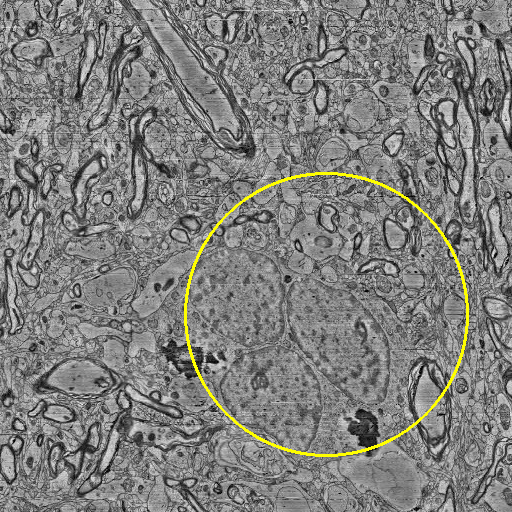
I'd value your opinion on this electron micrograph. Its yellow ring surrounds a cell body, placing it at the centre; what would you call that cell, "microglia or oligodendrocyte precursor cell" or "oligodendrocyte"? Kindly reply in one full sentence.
It is an oligodendrocyte that sits centred within the yellow ring in this micrograph.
